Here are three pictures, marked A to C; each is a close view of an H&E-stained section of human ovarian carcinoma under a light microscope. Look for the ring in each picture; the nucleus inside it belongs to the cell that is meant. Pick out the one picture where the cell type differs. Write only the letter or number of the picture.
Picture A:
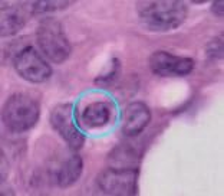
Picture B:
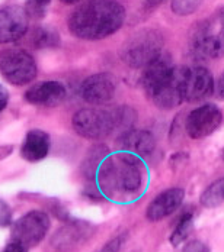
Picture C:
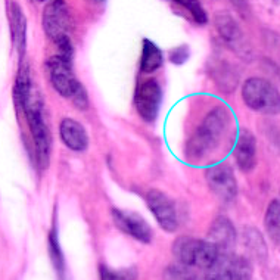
A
